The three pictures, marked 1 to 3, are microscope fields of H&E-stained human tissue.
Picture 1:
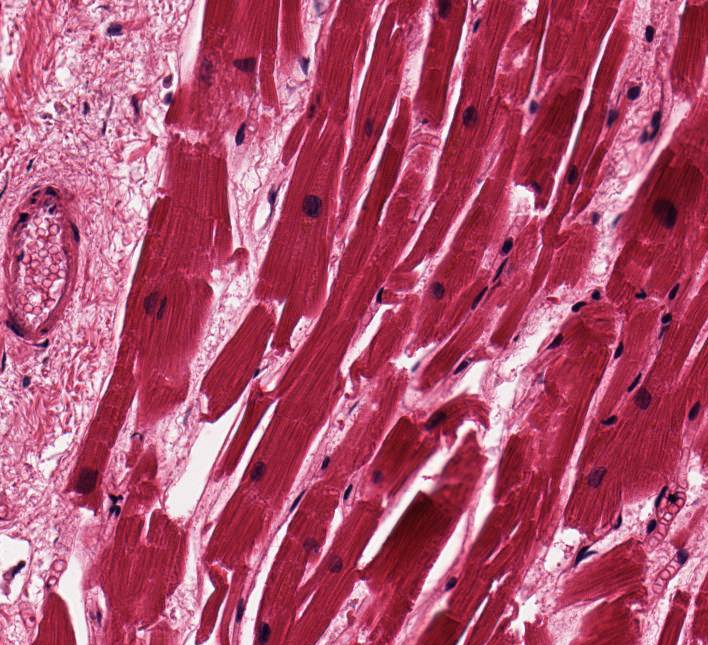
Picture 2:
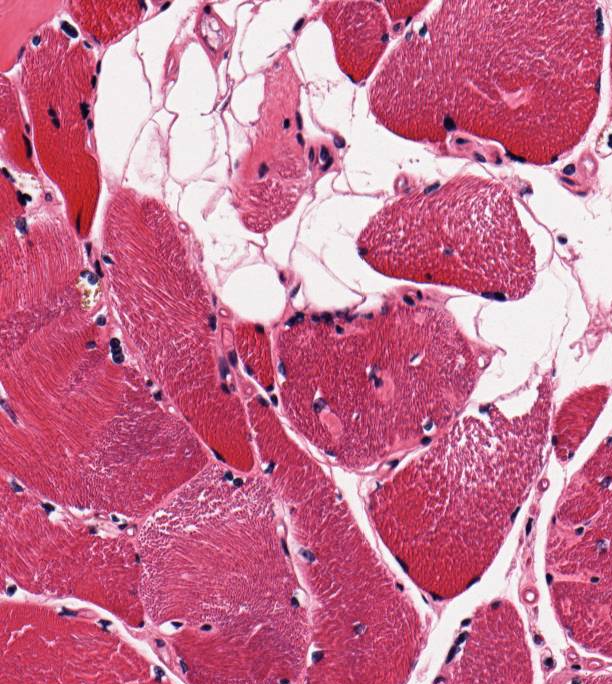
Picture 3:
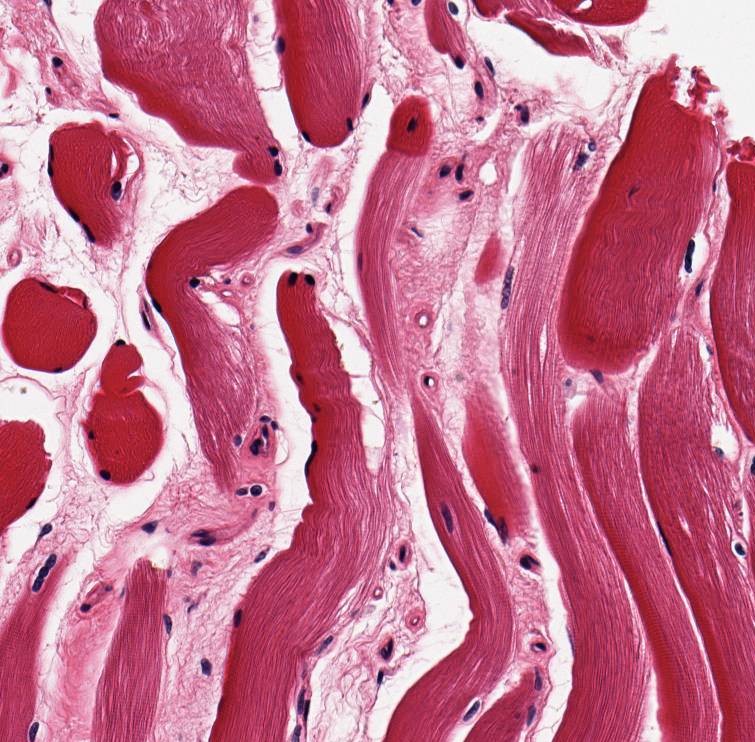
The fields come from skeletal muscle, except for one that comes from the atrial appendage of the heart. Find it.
1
